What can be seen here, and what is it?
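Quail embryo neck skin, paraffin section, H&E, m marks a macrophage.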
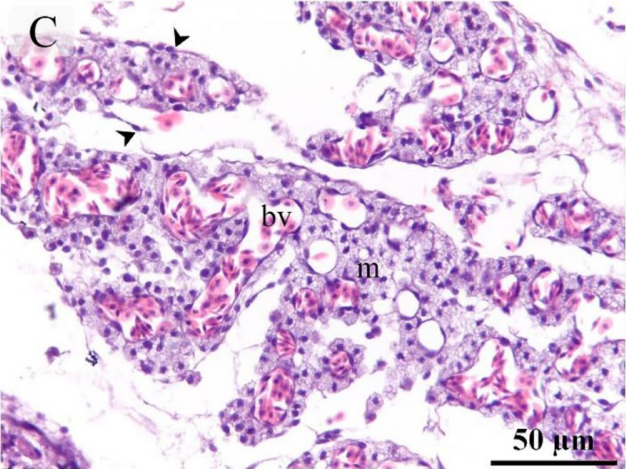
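Between the vessels lie many round cells with purple nuclei and pale, foamy cytoplasm, and some clear round vacuoles are scattered among them. Thin, flattened cells with slender processes line the outer edges of these vascular strands.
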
